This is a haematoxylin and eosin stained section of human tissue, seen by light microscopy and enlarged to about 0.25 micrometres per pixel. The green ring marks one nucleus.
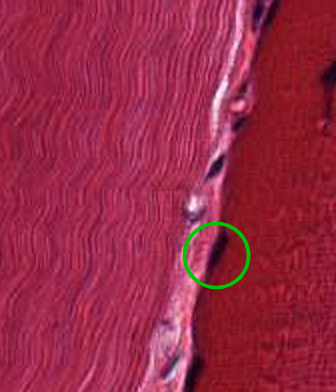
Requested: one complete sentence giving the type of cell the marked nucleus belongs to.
The marked nucleus is contained in a skeletal muscle fibre.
